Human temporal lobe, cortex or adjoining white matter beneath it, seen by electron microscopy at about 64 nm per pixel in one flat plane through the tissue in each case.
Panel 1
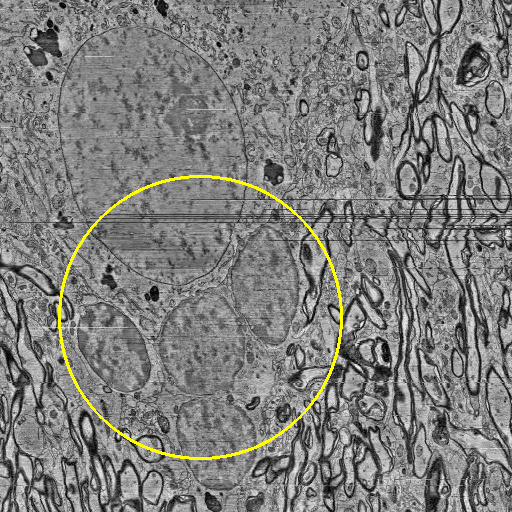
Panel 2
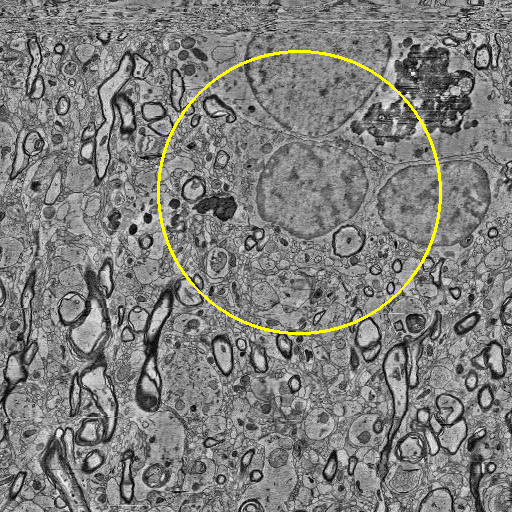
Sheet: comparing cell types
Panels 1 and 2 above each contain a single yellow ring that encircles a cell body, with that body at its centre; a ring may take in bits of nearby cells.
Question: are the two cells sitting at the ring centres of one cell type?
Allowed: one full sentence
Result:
Yes, the ring-centre cells in Panel 1 and Panel 2 are of one type.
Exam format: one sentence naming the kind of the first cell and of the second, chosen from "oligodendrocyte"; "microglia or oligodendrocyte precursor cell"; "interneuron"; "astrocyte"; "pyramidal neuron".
Each of the two rings surrounds an oligodendrocyte.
